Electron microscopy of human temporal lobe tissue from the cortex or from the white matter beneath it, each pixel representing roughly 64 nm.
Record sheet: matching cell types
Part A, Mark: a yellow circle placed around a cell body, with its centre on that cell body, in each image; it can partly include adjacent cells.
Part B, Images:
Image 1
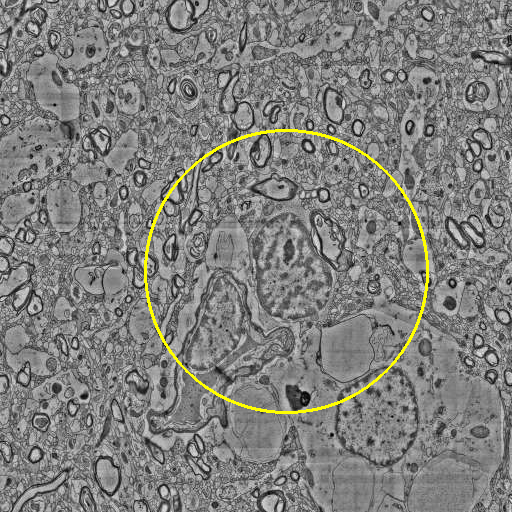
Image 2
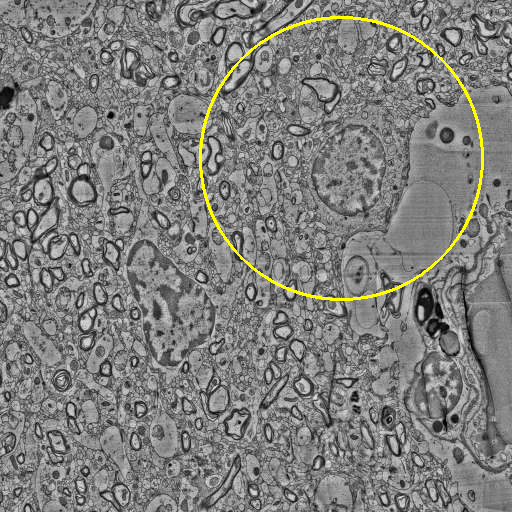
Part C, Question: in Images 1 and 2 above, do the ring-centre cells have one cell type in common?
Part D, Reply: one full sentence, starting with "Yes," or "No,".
Yes, the ring-centre cells of Image 1 and Image 2 are both of a single cell type.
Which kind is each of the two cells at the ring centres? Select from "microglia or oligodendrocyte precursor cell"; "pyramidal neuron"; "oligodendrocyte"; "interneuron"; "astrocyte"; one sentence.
In both pictures the ring is centred on an oligodendrocyte.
